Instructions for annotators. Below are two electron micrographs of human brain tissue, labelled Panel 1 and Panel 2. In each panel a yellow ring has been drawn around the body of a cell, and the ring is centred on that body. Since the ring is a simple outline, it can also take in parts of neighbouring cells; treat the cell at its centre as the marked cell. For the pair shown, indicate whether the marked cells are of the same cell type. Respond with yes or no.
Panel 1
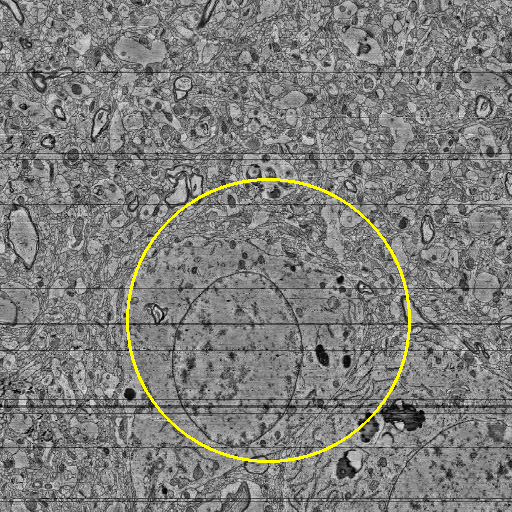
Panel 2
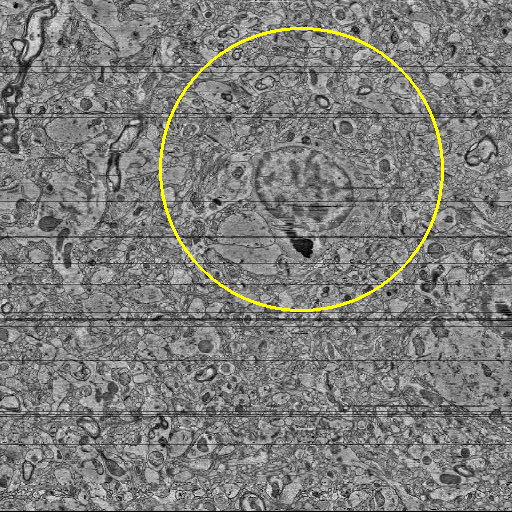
no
